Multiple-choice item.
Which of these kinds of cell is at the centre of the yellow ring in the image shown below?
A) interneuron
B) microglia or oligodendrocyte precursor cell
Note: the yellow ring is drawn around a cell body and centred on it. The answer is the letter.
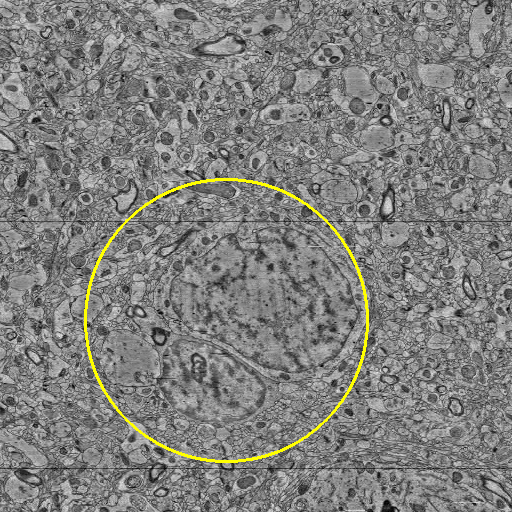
A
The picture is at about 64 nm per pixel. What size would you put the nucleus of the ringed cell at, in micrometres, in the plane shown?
In this plane, about 12 micrometres in length and 9 in width.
